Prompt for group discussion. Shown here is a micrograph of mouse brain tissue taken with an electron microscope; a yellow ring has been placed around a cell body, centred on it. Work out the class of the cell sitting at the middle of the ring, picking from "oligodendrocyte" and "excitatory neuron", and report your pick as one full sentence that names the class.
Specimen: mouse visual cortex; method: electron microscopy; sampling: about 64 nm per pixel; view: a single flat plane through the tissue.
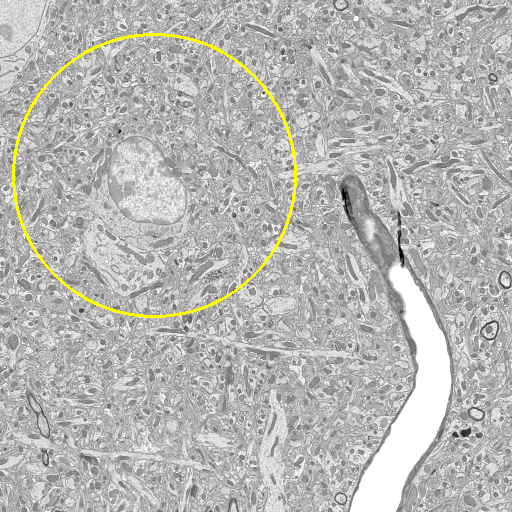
The cell sitting at the middle of the yellow ring is an oligodendrocyte.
